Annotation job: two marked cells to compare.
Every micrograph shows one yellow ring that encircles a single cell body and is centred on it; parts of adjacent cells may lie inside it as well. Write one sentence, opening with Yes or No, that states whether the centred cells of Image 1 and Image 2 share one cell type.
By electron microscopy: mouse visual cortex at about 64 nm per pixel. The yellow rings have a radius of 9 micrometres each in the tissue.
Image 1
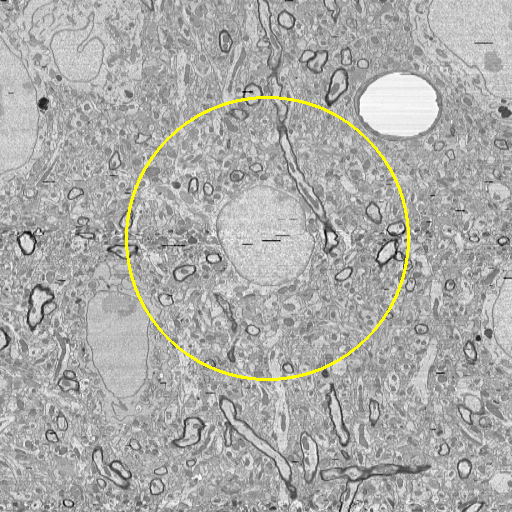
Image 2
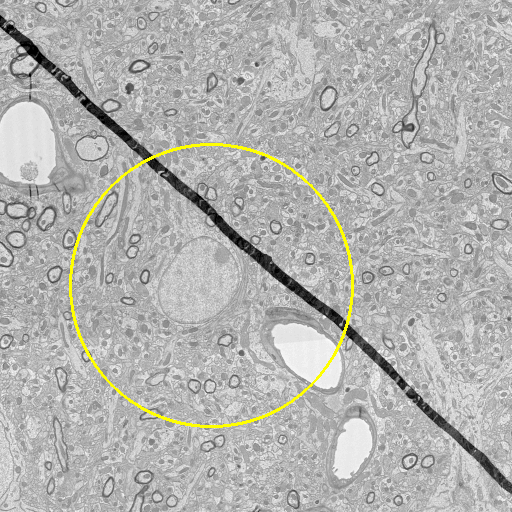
Yes, the cell centred in Image 1 shares its type with the cell centred in Image 2.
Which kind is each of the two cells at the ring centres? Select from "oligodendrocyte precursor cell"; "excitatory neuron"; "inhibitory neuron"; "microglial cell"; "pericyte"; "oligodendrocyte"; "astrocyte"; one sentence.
Each one of the two ringed cells is an astrocyte.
